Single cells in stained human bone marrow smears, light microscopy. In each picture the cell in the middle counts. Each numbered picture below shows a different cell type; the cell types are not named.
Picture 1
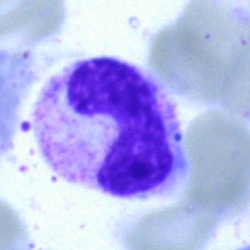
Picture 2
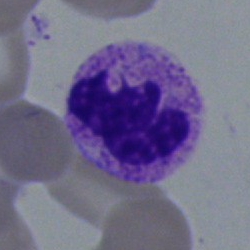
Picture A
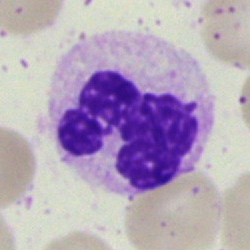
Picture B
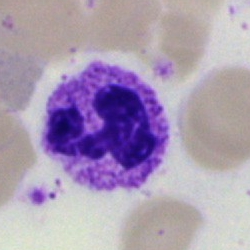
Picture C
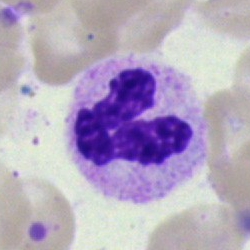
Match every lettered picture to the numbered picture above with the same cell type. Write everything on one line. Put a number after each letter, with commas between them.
A 2, B 2, C 2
